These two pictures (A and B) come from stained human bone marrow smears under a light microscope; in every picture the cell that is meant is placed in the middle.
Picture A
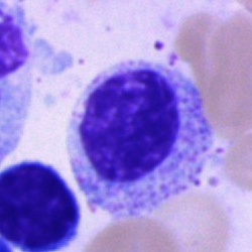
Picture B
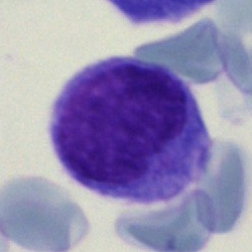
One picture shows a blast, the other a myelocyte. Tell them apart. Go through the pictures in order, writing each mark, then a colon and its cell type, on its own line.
A: myelocyte
B: blast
